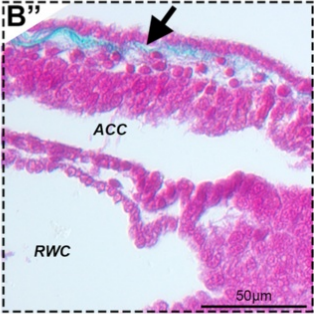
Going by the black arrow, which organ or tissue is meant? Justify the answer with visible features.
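Aboral dermal layer. The arrow points to a layer with cyan fibres beneath the outer surface. Scattered rounded cells lie in this layer above an epithelium-lined cavity.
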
